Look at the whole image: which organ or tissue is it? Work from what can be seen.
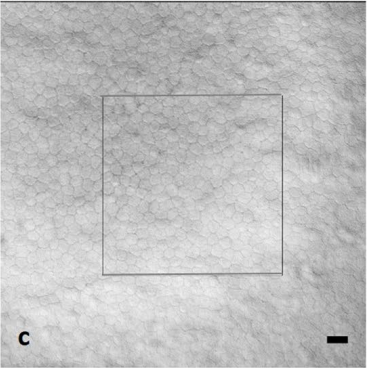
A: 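A single sheet of regularly arranged polygonal cells fills the field. Cell boundaries are thin and dark. Cells are of rather uniform size, like a honeycomb. The answer: endothelium.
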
